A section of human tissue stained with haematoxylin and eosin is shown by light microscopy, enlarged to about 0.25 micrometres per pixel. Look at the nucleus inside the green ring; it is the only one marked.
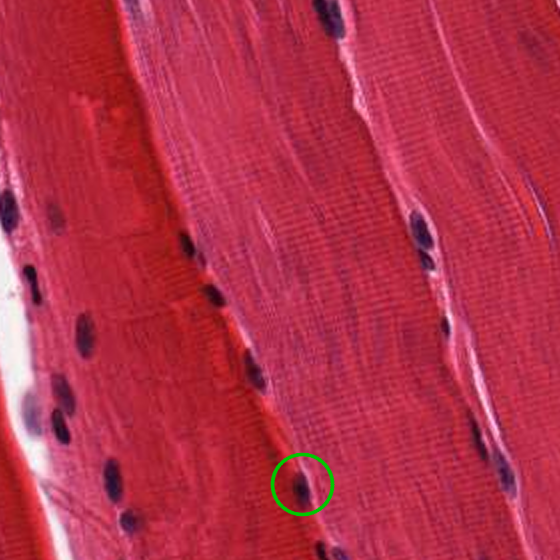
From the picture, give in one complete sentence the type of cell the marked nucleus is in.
The marked nucleus is the nucleus of a skeletal muscle fibre.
